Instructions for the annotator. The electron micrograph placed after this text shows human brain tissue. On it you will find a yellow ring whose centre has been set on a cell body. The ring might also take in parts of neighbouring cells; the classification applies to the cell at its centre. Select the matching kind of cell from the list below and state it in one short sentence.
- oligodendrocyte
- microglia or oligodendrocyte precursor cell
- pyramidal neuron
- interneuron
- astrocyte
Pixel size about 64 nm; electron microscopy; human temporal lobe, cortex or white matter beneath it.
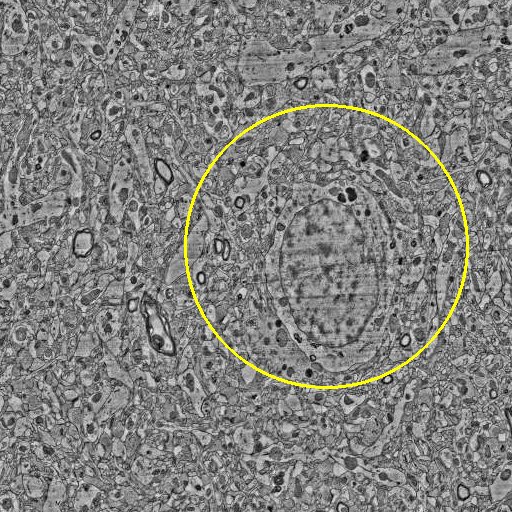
The ring is drawn on the cell body of an interneuron.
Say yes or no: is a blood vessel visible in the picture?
No.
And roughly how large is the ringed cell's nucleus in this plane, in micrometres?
The nucleus comes to roughly 9 by 6 micrometres in this plane.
